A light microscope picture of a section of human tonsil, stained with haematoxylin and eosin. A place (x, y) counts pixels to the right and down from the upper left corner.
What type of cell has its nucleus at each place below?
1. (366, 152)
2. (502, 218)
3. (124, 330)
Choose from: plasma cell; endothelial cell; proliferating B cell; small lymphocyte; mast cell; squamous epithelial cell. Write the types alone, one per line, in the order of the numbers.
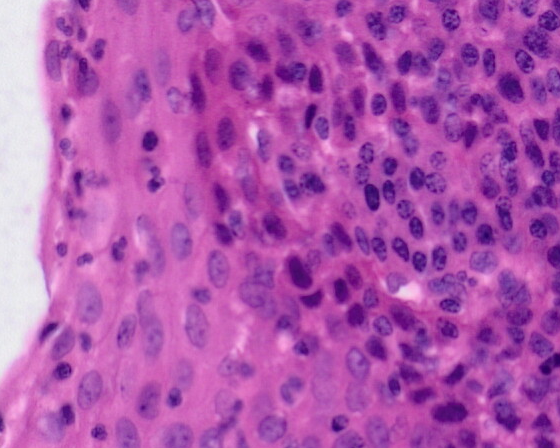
plasma cell
plasma cell
squamous epithelial cell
